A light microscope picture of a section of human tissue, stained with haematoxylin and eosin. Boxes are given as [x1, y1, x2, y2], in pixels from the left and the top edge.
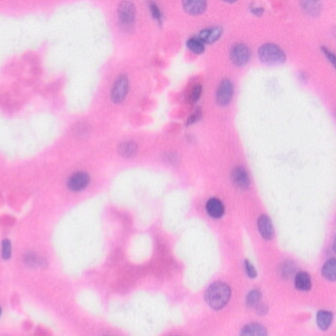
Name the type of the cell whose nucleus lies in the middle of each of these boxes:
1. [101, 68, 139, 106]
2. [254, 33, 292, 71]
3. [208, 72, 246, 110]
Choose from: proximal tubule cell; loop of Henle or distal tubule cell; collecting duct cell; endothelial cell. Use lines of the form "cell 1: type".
cell 1: proximal tubule cell
cell 2: loop of Henle or distal tubule cell
cell 3: loop of Henle or distal tubule cell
